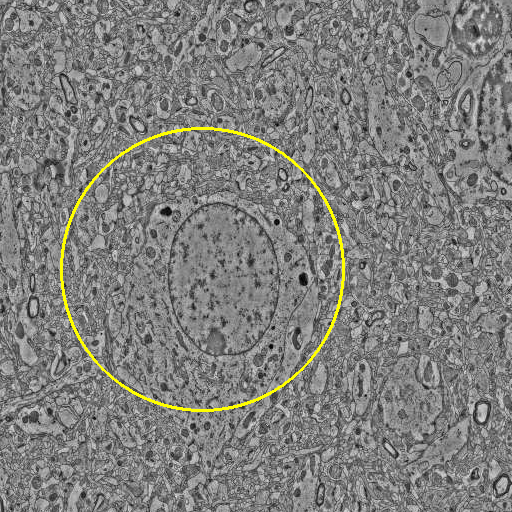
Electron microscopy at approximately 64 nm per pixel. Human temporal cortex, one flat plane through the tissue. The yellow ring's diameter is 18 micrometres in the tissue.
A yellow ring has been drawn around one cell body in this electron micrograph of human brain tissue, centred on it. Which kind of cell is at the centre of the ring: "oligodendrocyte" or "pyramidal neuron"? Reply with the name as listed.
pyramidal neuron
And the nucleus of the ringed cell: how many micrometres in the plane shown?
Approximately 10 micrometres long and 7 micrometres wide, in this plane.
